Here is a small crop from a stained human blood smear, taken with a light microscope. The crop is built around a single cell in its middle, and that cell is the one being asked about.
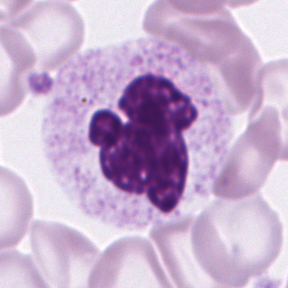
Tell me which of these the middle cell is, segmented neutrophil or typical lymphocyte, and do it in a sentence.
Answering briefly, the cell in the middle is a segmented neutrophil.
